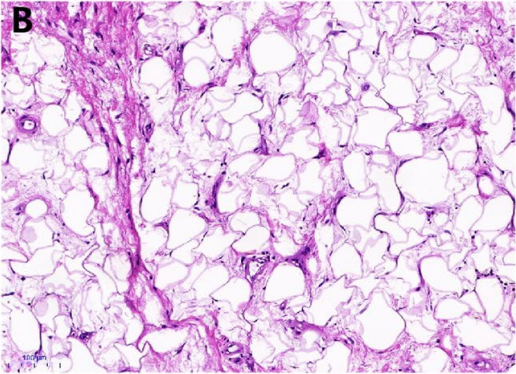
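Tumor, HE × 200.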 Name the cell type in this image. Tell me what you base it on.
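Many large, empty, rounded polygonal spaces bounded by thin membranes. Few nuclei, pressed to the edges of the spaces.
Answer: mature adipocytes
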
